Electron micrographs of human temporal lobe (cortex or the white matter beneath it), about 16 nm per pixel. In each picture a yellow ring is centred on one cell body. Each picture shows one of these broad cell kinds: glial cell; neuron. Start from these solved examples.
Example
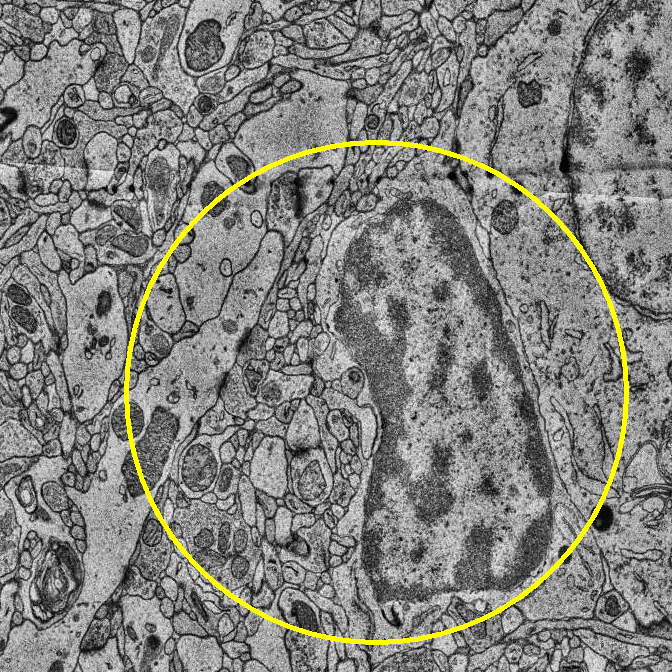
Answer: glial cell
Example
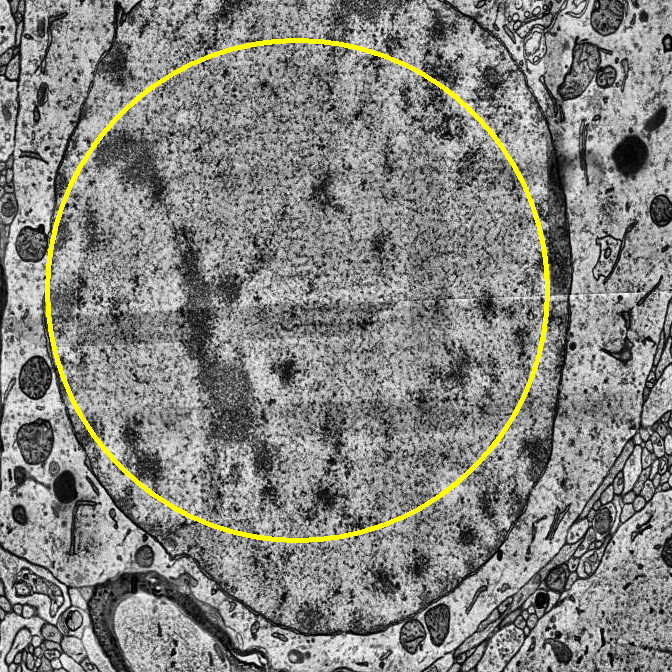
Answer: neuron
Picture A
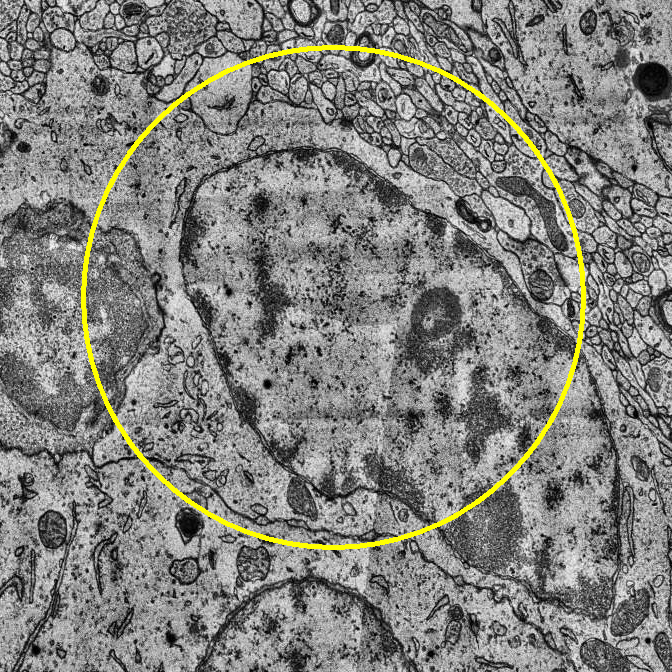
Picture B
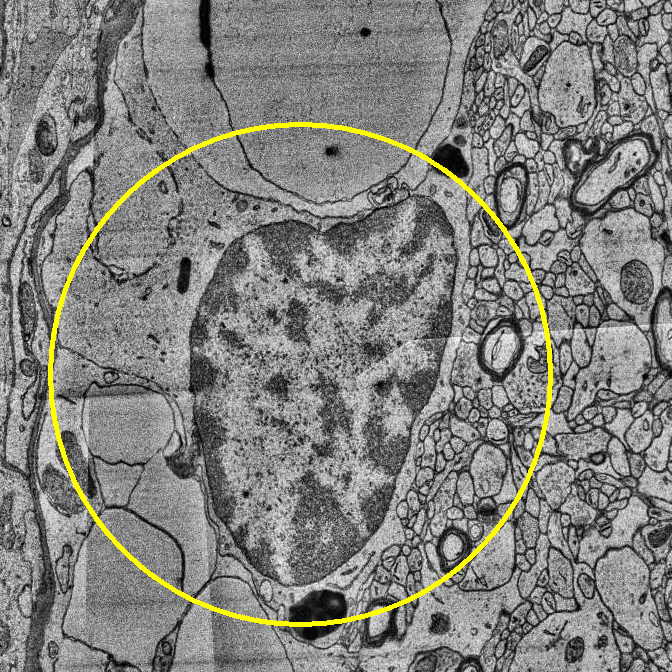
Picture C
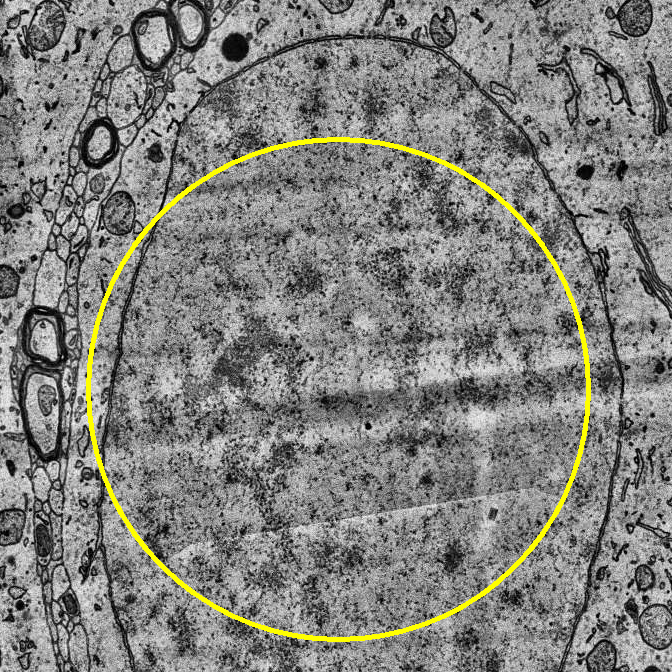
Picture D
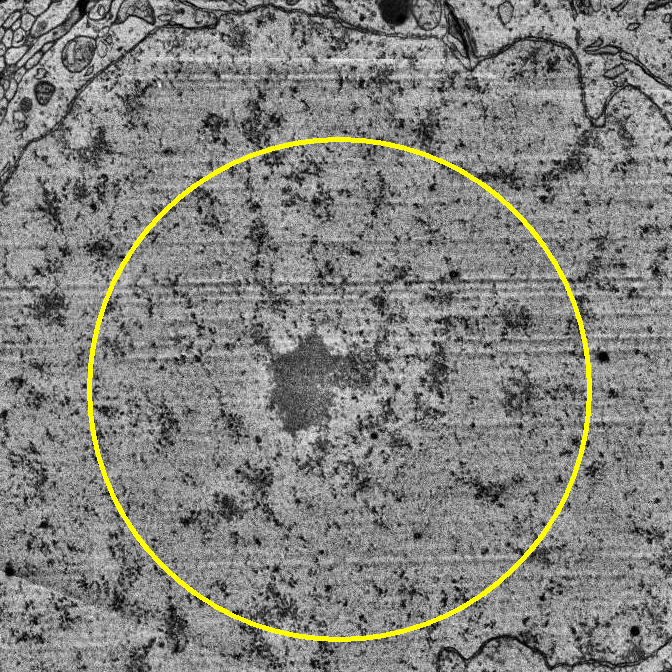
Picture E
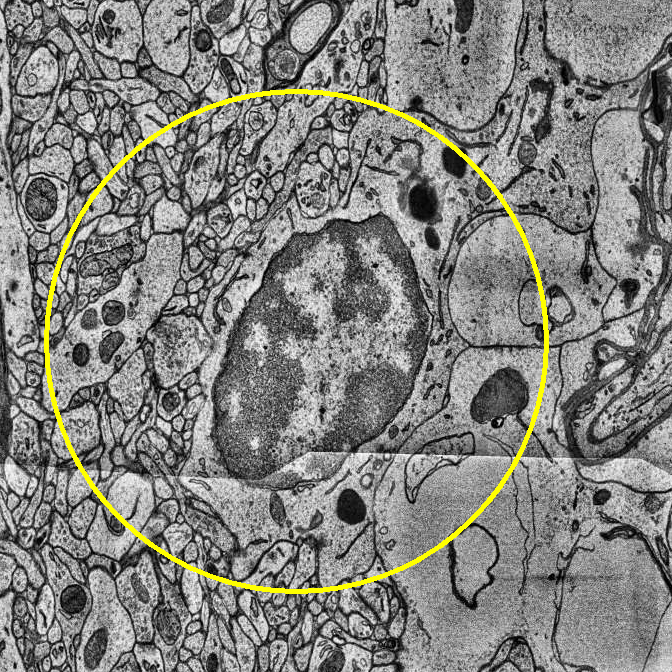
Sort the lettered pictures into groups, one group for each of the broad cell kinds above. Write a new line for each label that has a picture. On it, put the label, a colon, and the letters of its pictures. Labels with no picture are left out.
glial cell: A, B, E
neuron: C, D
